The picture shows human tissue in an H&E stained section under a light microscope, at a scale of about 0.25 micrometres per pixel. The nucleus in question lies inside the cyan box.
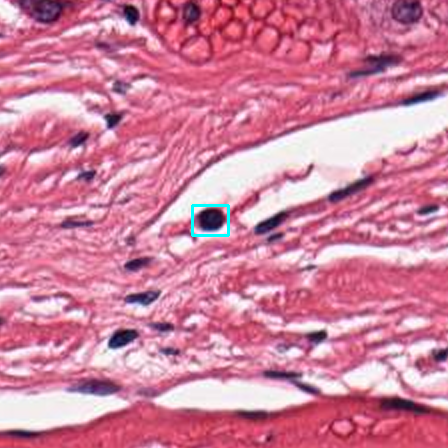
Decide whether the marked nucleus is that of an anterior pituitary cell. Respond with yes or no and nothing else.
no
